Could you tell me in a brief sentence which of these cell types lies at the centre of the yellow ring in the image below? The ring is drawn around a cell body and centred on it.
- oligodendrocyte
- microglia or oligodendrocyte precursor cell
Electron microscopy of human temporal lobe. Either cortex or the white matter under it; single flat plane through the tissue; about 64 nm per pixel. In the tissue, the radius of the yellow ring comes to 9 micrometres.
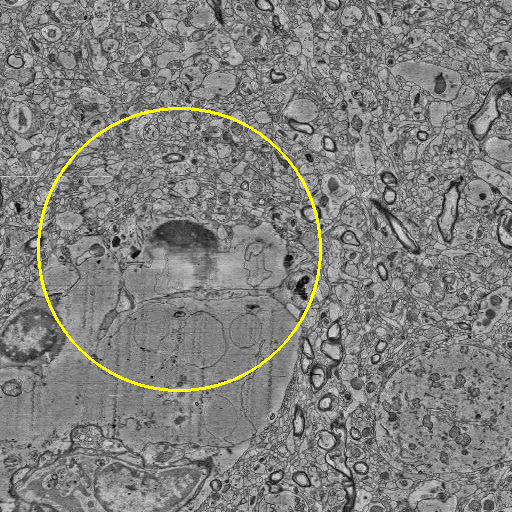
The cell centred in the ring is a microglial cell or oligodendrocyte precursor cell.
